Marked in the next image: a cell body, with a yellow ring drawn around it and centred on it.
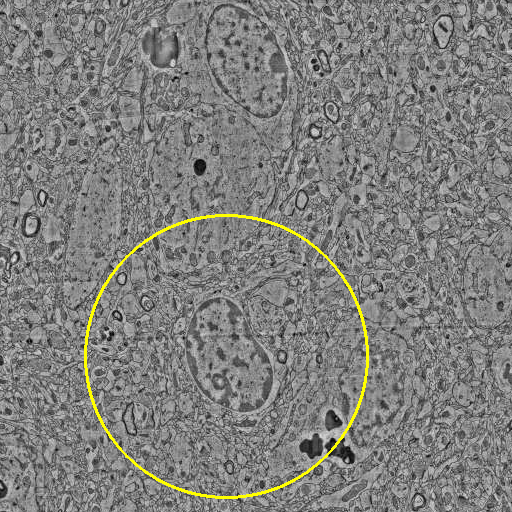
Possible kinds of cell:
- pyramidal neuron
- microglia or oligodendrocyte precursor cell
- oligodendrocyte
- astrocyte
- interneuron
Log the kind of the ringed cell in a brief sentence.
The ringed cell body is that of a microglial cell or oligodendrocyte precursor cell.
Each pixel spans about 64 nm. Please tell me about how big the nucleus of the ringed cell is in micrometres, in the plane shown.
Roughly 7 micrometres long and 5 micrometres wide; in this plane the nucleus is clearly longer than it is wide.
